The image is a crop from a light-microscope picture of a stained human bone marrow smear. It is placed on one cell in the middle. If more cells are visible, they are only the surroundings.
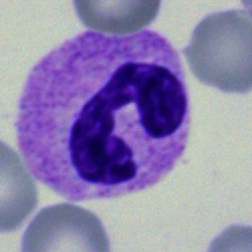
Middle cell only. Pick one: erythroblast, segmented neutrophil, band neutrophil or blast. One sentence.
The middle cell in this particular crop is a segmented neutrophil.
